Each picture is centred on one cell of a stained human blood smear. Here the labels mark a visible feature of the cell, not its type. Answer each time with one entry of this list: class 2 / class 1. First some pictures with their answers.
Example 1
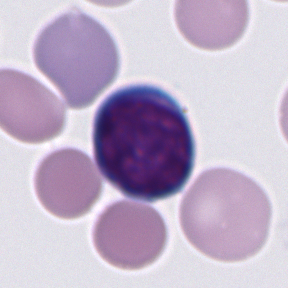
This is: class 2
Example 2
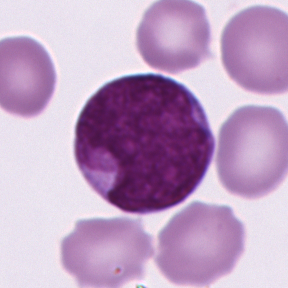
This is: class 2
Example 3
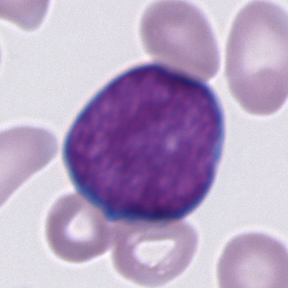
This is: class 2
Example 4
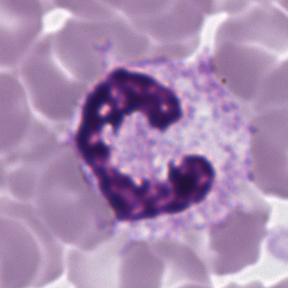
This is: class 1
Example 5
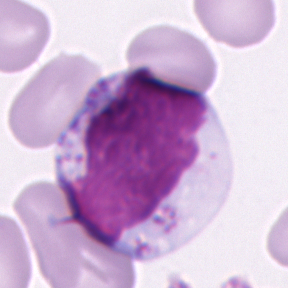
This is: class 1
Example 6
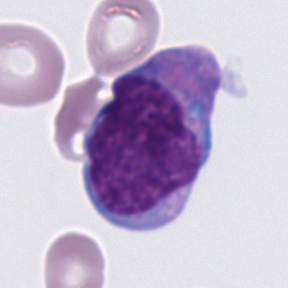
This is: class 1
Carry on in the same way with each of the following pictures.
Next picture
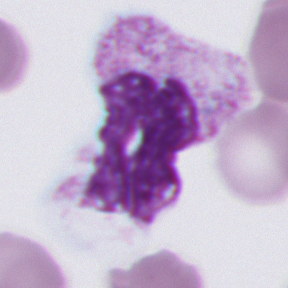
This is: class 1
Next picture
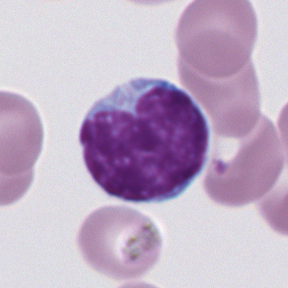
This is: class 2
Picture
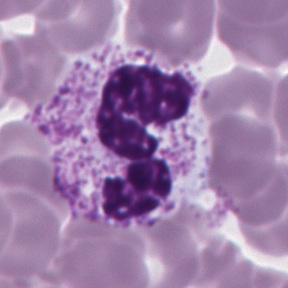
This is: class 1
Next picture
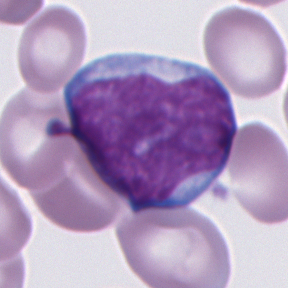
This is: class 1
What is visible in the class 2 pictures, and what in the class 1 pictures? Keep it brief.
class 2, smooth outline; class 1, ragged outline or projections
